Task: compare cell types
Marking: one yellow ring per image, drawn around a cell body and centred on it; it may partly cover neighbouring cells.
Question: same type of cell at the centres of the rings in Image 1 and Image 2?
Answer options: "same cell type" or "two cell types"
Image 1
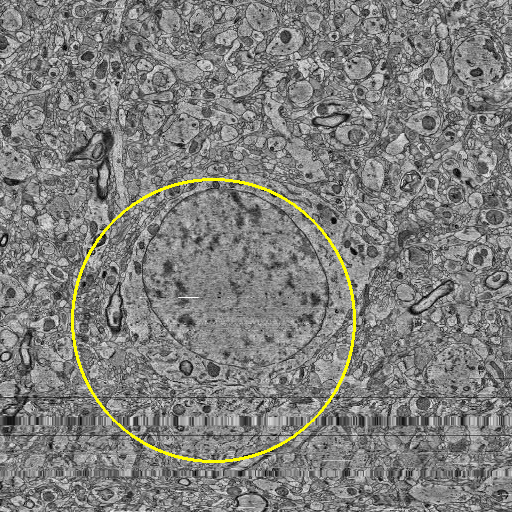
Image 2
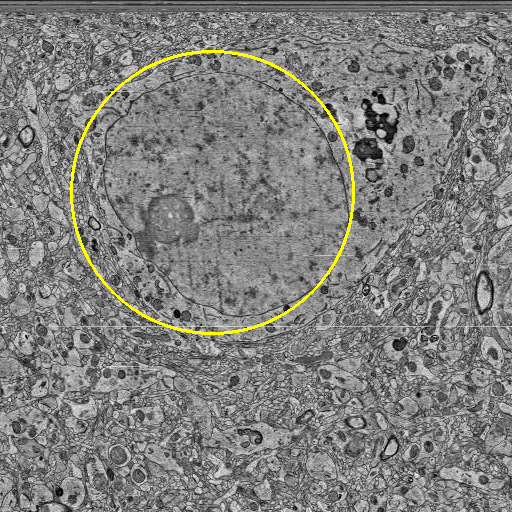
same cell type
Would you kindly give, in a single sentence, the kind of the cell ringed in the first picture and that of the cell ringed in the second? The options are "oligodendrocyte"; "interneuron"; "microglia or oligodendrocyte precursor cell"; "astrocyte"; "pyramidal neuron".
The second cell is a pyramidal neuron, just as the first is.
